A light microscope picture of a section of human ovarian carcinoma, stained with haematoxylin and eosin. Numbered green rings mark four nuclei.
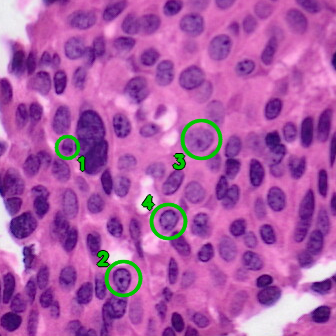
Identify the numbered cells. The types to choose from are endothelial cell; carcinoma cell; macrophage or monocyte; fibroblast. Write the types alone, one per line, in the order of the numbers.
carcinoma cell
macrophage or monocyte
carcinoma cell
macrophage or monocyte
